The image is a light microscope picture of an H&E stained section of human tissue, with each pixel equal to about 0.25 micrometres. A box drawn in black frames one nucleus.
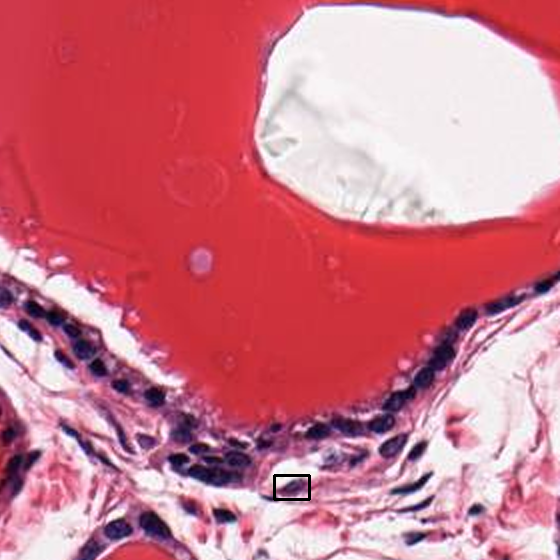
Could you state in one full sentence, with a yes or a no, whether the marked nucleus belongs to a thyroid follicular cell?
No, the marked nucleus is not part of a thyroid follicular cell and instead belongs to a supporting cell.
